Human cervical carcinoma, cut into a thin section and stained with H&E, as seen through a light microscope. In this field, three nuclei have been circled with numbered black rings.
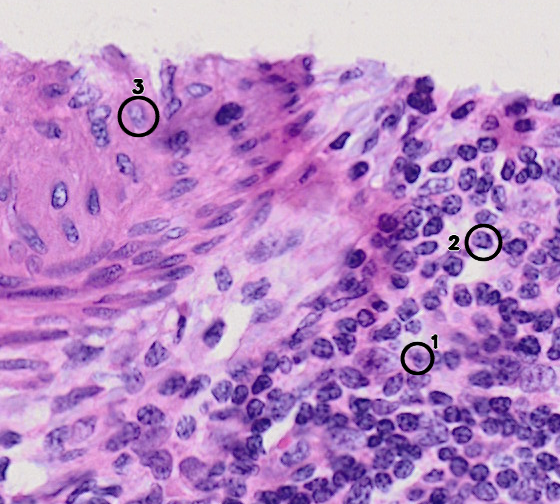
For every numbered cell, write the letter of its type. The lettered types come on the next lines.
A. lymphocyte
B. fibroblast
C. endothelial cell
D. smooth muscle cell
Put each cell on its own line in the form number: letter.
1: A
2: A
3: D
